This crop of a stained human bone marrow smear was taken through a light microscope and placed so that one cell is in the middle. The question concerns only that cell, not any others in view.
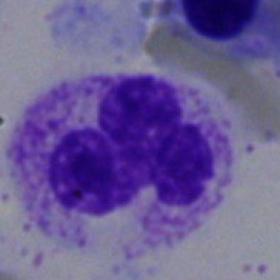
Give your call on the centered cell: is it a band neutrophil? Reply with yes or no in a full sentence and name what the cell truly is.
No, the cell in the centre of the crop is a segmented neutrophil as opposed to a band neutrophil.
